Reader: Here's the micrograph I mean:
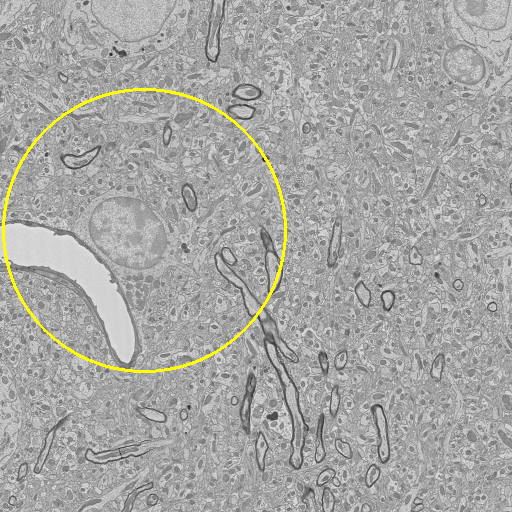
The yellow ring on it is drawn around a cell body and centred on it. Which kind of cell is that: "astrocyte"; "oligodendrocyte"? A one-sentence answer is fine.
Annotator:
The ring is centred on an oligodendrocyte.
